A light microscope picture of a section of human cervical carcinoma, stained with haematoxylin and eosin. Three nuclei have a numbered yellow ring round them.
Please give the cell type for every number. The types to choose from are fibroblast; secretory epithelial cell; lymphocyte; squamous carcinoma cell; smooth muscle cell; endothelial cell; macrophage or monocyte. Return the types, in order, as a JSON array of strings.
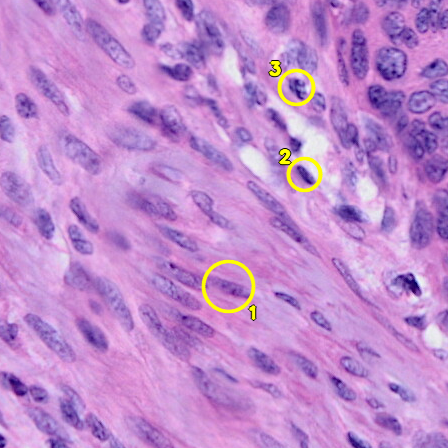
["smooth muscle cell", "lymphocyte", "lymphocyte"]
